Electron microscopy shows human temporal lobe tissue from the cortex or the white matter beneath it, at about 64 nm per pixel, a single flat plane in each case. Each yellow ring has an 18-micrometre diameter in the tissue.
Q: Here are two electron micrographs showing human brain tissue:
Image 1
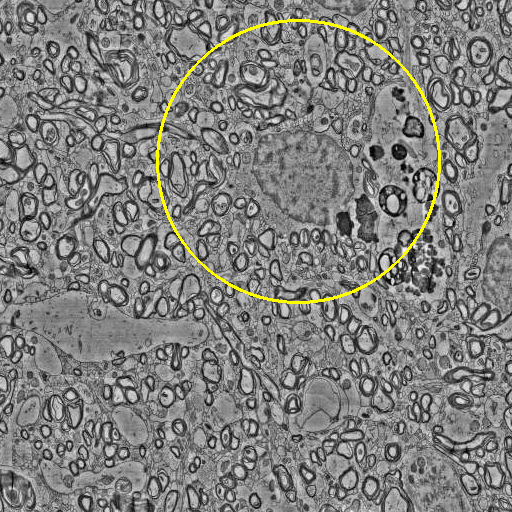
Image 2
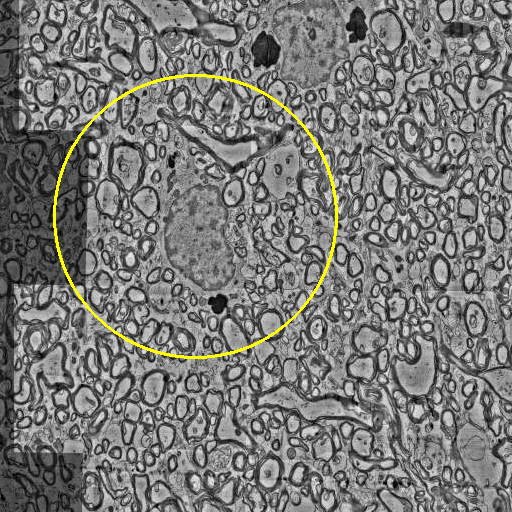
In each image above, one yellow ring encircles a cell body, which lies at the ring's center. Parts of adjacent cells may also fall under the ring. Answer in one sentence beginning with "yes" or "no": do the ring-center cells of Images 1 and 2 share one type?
Yes, in Images 1 and 2, the ring-center cells are both of one type.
